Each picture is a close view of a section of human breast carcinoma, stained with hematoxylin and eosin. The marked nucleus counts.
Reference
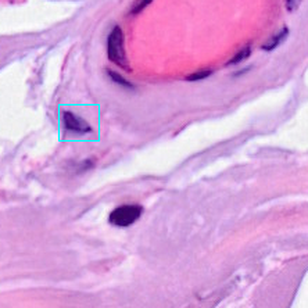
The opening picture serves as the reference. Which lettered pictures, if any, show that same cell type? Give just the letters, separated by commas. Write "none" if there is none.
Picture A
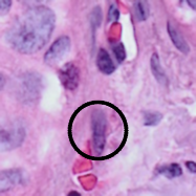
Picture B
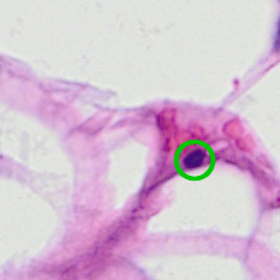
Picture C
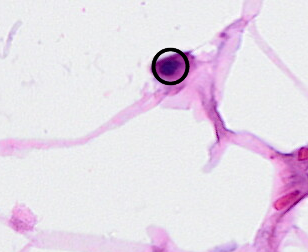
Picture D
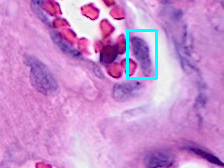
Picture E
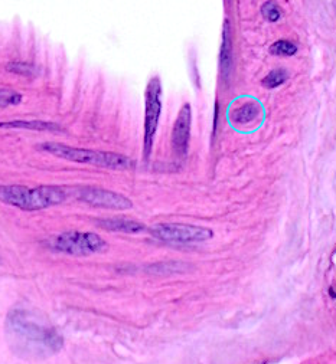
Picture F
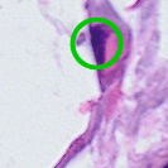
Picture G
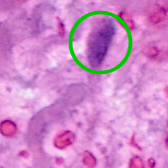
G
